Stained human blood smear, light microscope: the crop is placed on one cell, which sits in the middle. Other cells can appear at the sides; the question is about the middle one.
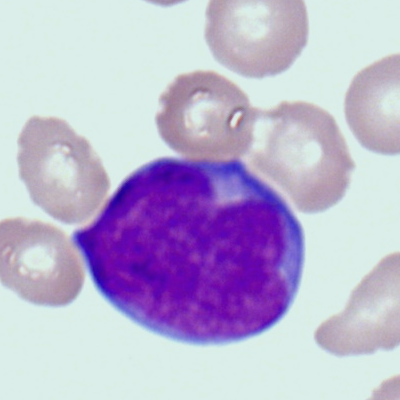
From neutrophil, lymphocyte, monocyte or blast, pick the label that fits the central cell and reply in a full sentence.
The cell nearest the centre of this crop is a blast.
